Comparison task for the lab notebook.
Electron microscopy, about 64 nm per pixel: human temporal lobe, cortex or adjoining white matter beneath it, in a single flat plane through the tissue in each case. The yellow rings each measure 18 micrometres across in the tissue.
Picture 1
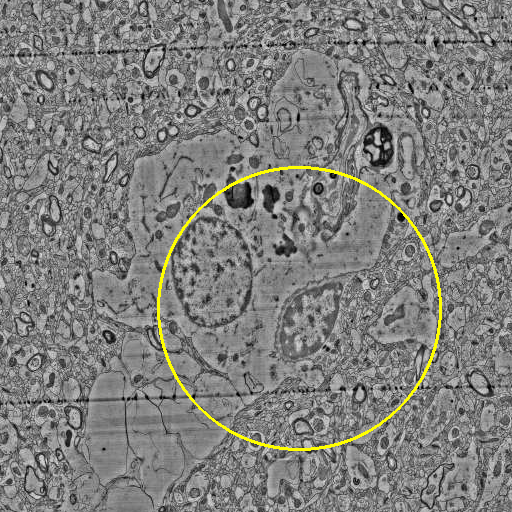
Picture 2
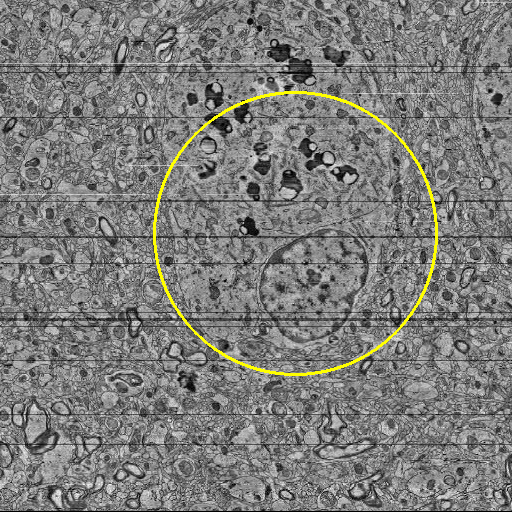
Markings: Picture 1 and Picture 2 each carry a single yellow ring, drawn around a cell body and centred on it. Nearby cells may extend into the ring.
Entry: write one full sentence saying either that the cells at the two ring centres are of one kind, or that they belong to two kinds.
The cells sitting at the ring centres in Picture 1 and Picture 2 are of one kind.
